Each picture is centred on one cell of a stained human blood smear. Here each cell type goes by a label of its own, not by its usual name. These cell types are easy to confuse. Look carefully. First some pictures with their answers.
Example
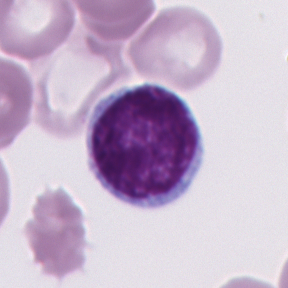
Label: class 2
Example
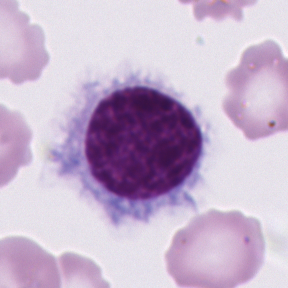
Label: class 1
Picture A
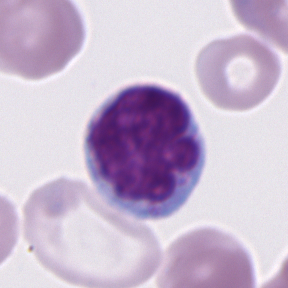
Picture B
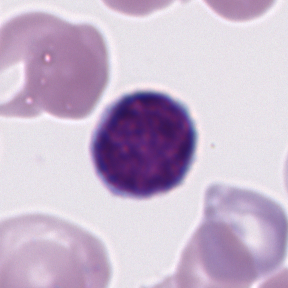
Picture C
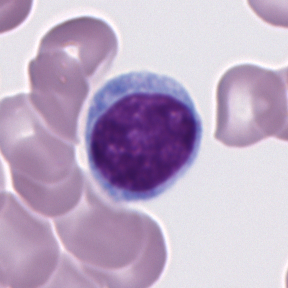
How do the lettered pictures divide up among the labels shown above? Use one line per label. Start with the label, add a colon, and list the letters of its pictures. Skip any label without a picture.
class 2: A, B, C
